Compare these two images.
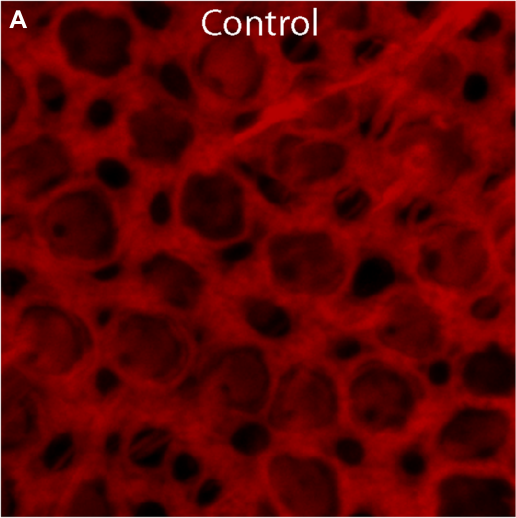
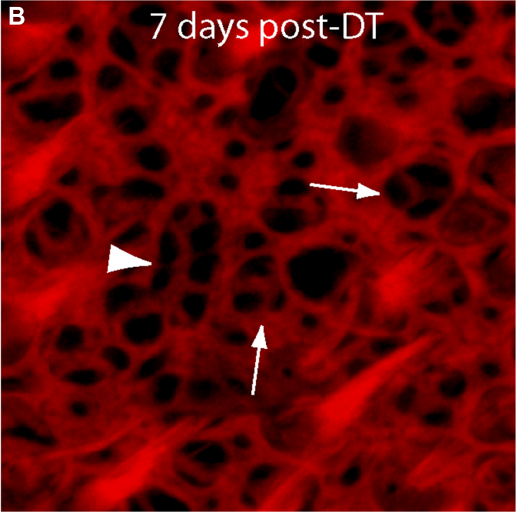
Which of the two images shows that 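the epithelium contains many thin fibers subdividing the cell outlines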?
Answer: The second image.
